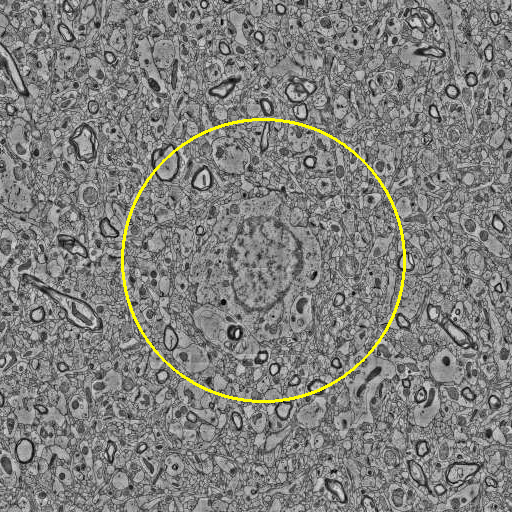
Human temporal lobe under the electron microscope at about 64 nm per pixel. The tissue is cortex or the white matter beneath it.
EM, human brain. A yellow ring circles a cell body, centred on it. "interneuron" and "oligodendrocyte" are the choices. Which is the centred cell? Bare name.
interneuron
